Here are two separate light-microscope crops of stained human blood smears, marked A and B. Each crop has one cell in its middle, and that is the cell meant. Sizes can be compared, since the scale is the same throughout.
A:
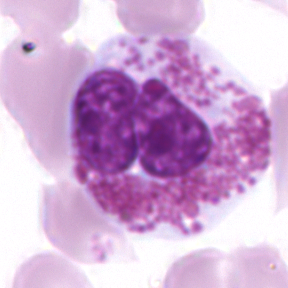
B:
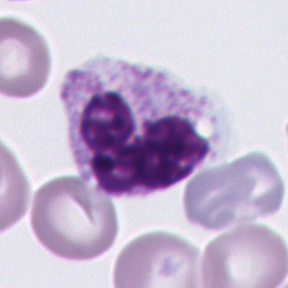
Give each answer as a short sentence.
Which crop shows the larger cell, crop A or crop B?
The cell in crop A is larger, with about 1.5 times the area of the one in crop B.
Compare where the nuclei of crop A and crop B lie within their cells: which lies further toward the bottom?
The nucleus in crop B lies further toward the bottom of its cell.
